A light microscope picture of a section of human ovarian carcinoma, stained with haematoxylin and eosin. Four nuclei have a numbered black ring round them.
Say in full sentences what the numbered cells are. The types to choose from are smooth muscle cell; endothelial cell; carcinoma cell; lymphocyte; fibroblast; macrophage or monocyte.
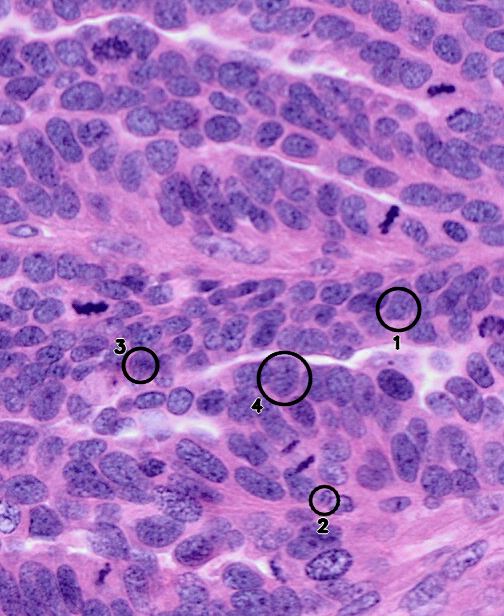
Cell 1 is a carcinoma cell, cell 2 is a macrophage or monocyte, cell 3 is a carcinoma cell and cell 4 is a carcinoma cell.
